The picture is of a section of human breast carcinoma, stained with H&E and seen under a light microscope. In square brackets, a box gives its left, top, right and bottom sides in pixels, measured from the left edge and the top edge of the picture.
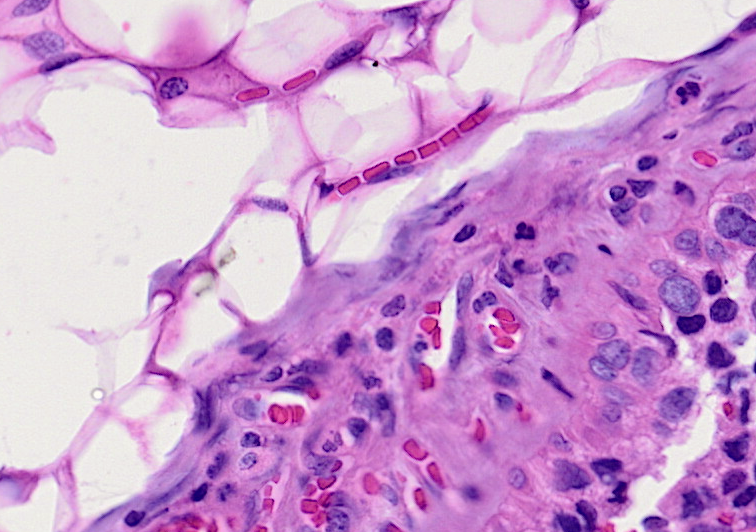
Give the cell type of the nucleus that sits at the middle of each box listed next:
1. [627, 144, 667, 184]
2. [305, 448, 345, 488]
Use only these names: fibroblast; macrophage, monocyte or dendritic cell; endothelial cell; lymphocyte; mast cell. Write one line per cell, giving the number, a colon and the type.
1: mast cell
2: endothelial cell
